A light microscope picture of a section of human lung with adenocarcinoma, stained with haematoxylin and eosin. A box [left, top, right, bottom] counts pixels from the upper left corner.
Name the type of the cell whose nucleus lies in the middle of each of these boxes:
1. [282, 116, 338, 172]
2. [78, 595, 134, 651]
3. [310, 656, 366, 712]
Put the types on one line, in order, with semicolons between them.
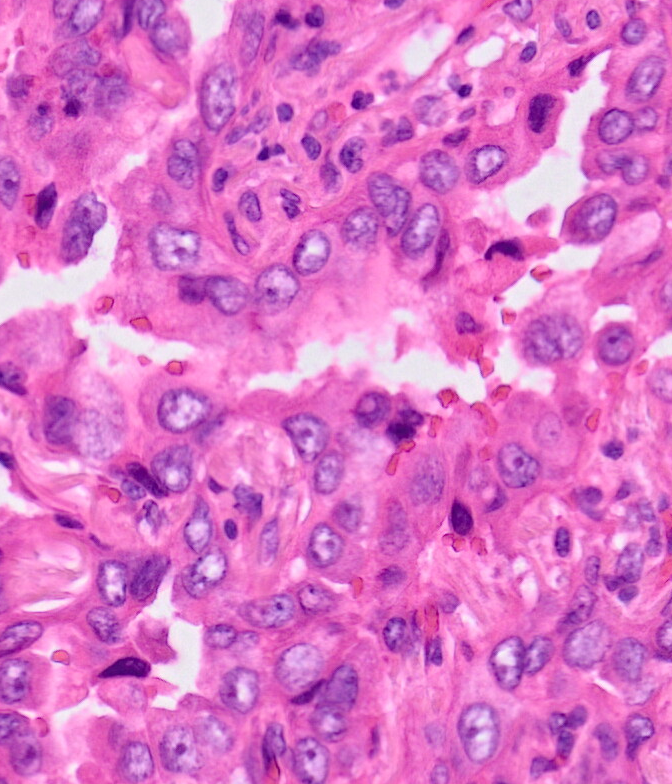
lymphocyte; carcinoma cell; carcinoma cell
